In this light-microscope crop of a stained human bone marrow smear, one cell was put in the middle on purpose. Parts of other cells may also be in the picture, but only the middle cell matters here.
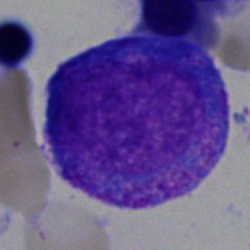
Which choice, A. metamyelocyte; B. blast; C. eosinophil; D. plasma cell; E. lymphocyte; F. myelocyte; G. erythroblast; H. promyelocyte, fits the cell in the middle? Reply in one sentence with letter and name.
The cell at the centre is a promyelocyte, and option H accordingly is correct.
